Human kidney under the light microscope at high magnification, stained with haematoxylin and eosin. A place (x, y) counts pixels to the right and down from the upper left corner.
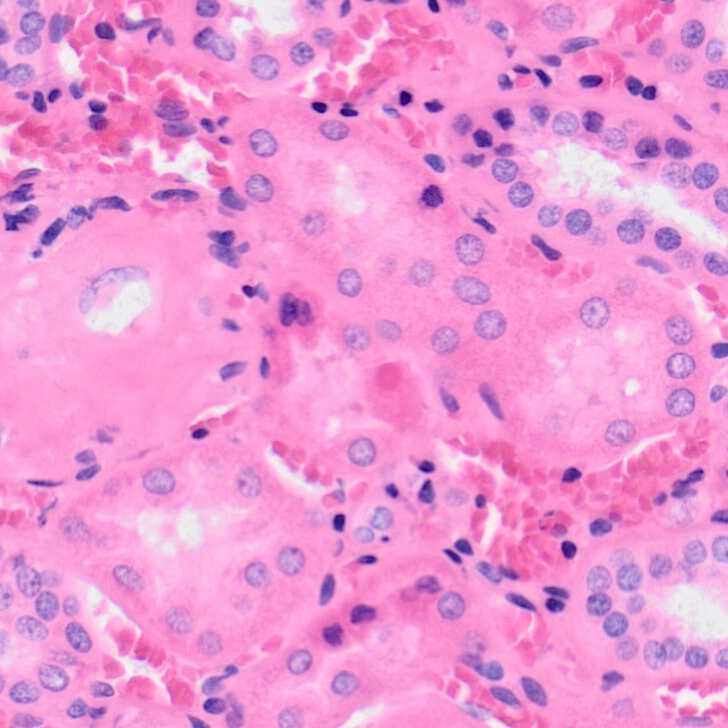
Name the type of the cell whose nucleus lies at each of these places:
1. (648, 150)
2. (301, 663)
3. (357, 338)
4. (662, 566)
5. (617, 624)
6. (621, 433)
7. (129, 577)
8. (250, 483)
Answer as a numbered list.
1. collecting duct cell
2. proximal tubule cell
3. proximal tubule cell
4. collecting duct cell
5. collecting duct cell
6. proximal tubule cell
7. proximal tubule cell
8. proximal tubule cell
